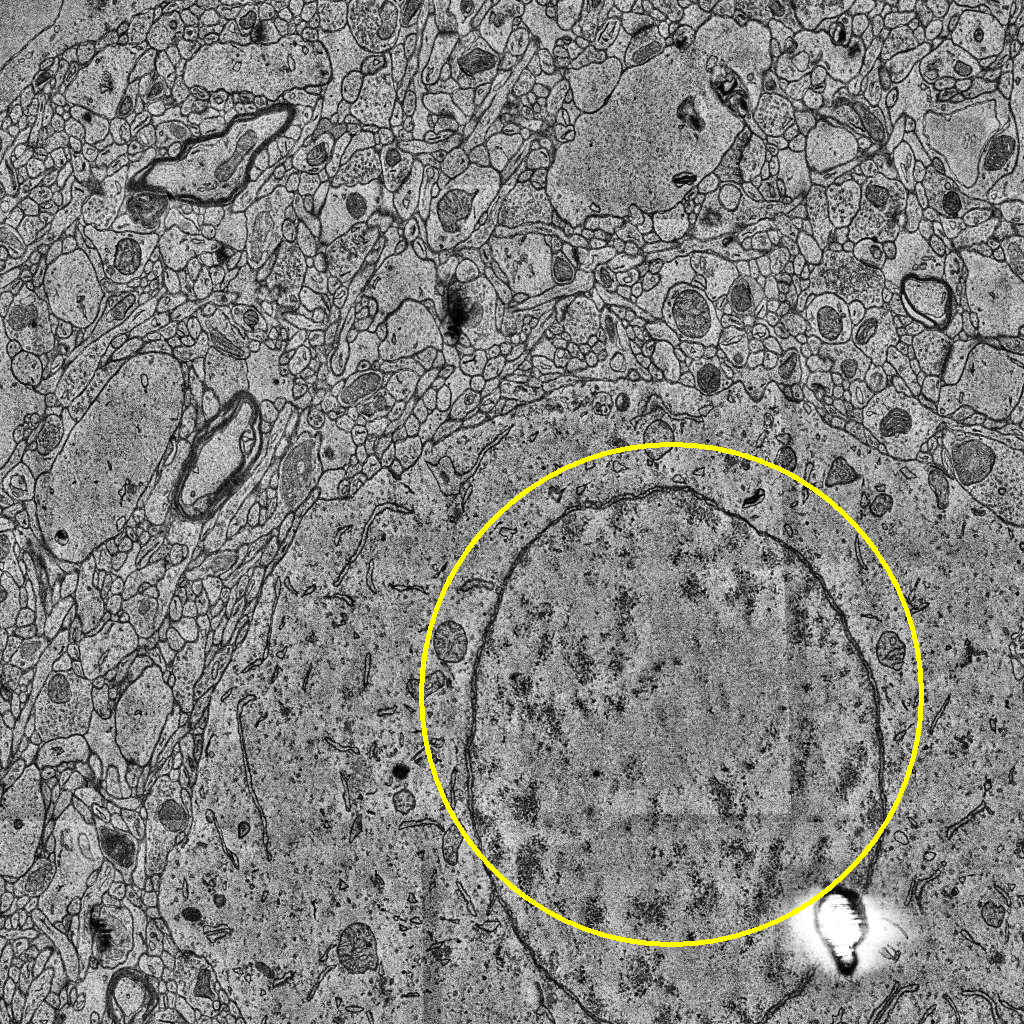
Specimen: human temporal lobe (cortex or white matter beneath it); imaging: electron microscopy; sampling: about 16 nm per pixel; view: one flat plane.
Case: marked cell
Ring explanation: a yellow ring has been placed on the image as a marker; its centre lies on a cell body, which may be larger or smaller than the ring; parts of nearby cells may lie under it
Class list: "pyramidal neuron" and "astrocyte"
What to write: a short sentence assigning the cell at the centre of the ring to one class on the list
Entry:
The cell at the ring's centre is a pyramidal neuron.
